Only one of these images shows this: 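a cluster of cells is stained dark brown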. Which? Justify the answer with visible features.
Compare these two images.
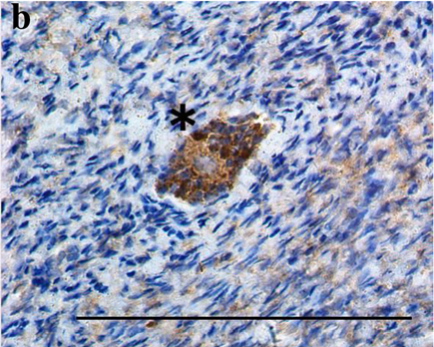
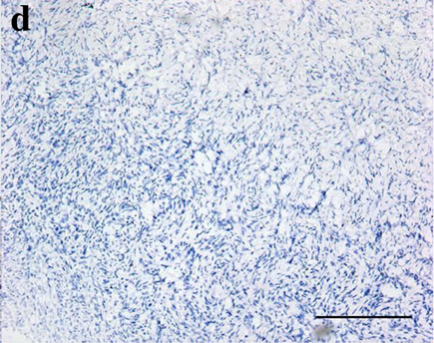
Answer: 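Second image: the tissue shows only blue nuclei with no brown-stained cluster. On this evidence: the first image.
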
